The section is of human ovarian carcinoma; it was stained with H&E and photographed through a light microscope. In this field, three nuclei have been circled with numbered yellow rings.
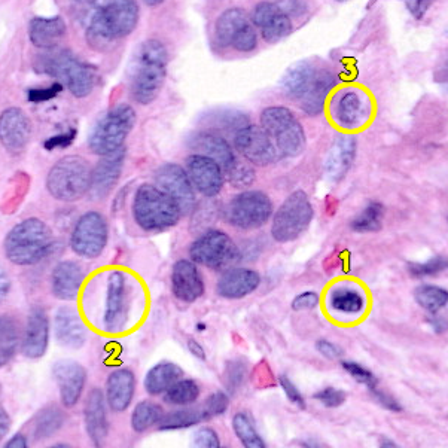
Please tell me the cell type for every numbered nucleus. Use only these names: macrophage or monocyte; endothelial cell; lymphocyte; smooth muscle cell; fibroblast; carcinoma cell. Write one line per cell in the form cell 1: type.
cell 1: lymphocyte
cell 2: fibroblast
cell 3: macrophage or monocyte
